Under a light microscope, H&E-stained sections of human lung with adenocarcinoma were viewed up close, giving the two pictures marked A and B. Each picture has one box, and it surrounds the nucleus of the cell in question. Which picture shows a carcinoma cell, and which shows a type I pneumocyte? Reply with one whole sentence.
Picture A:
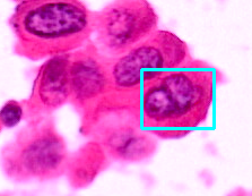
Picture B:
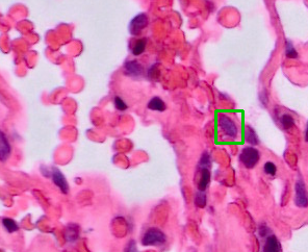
The cell in picture A is a carcinoma cell, and the one in picture B is a type I pneumocyte.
